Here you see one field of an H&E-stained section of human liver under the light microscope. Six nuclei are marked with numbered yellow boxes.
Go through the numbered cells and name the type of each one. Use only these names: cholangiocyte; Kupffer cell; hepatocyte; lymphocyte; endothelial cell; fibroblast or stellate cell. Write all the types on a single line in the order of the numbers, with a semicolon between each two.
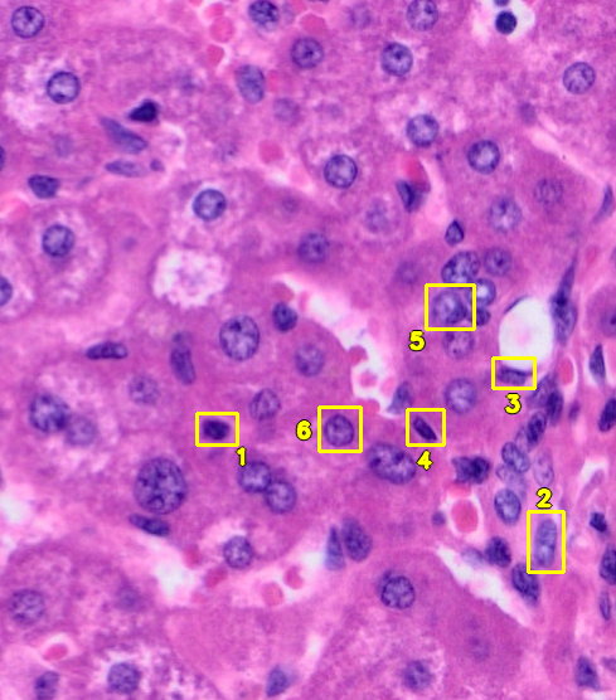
lymphocyte; cholangiocyte; fibroblast or stellate cell; fibroblast or stellate cell; cholangiocyte; hepatocyte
